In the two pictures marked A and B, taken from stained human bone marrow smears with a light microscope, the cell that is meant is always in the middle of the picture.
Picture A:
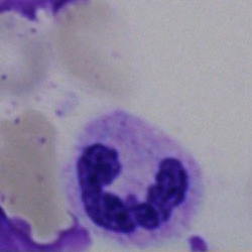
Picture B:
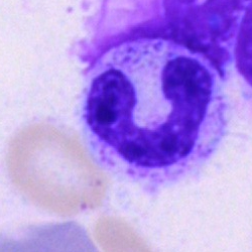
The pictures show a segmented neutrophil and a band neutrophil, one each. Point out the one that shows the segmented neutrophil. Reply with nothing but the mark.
A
